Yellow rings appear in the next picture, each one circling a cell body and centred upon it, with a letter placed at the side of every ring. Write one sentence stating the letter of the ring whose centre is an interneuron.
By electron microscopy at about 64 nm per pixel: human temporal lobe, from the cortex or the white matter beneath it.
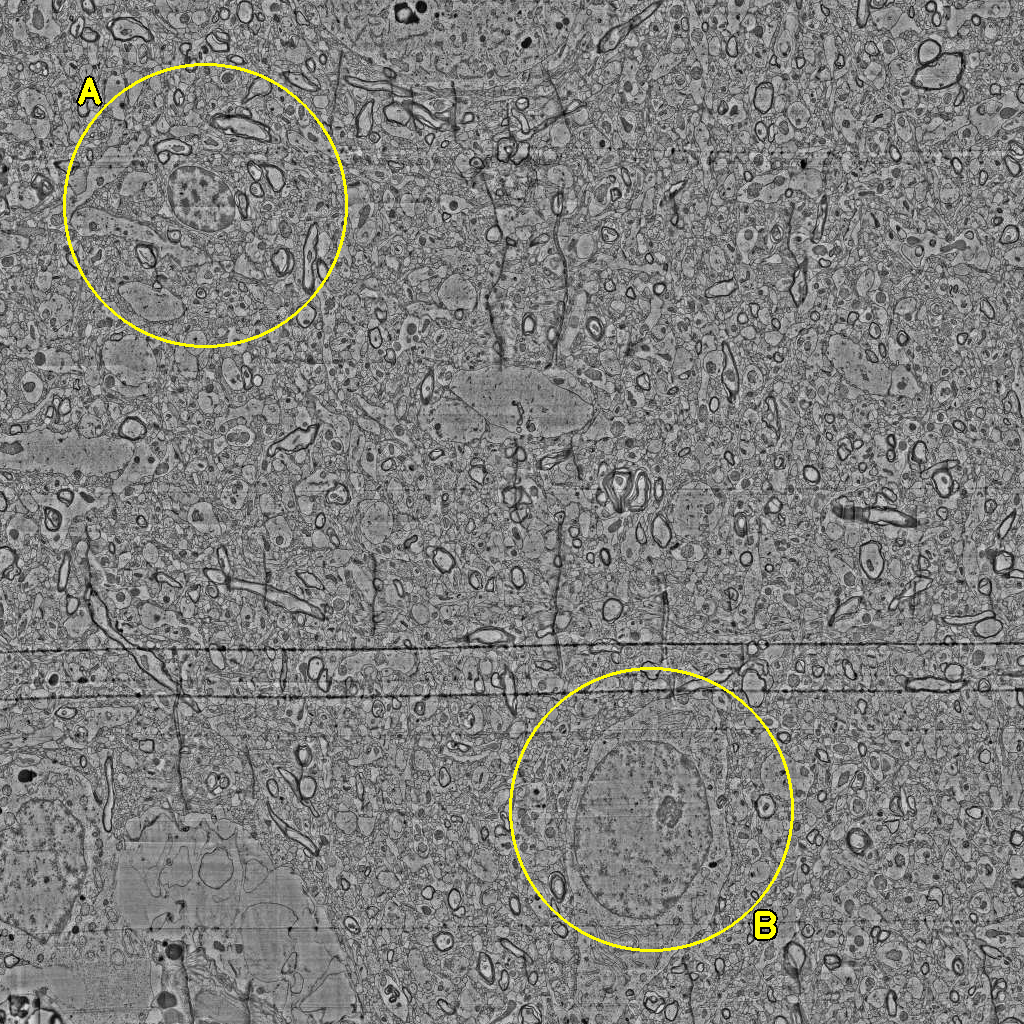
In the picture, the cell asked for lies at the centre of ring B.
